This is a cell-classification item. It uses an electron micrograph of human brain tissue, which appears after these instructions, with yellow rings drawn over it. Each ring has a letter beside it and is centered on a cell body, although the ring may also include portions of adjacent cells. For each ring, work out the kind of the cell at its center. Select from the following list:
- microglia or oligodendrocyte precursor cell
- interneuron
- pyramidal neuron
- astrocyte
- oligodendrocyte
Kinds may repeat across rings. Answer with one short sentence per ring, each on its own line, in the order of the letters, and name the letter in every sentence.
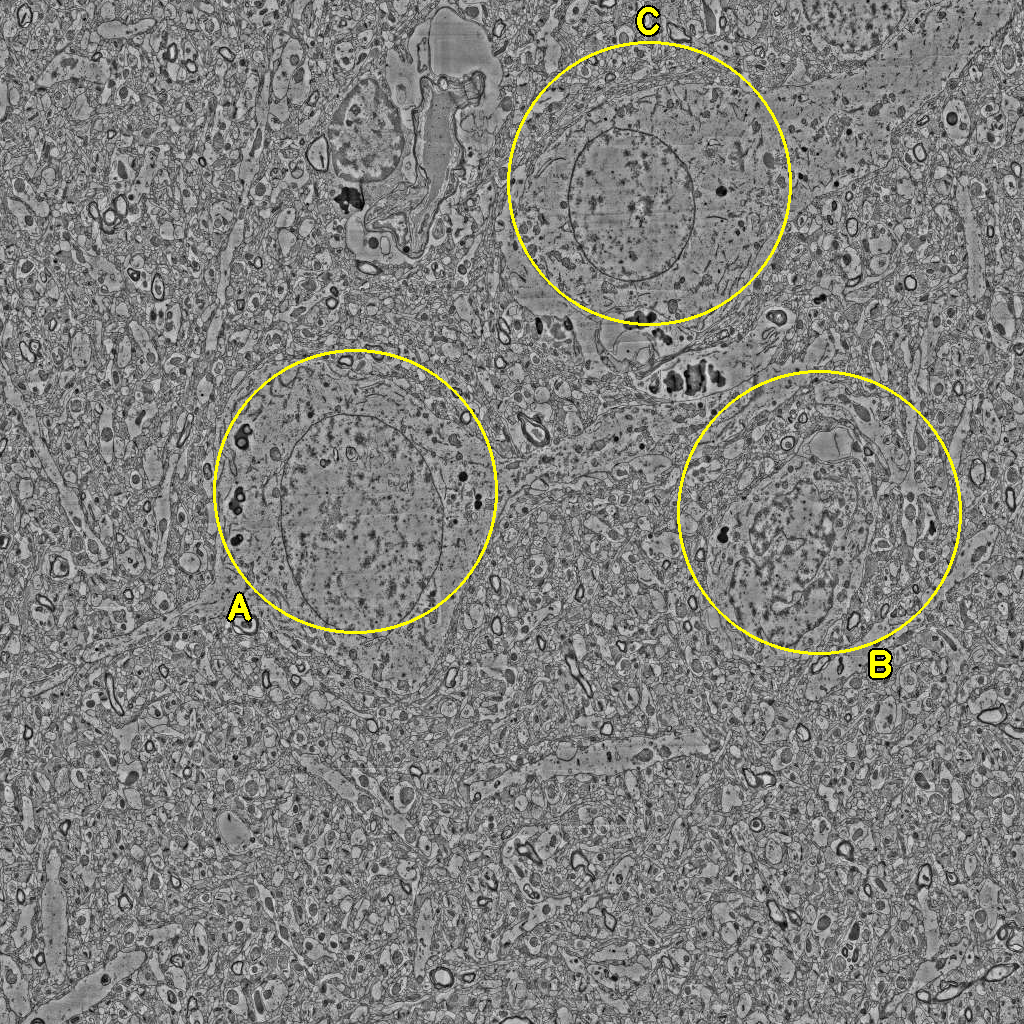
Ring A has a pyramidal neuron at its center.
Ring B has an interneuron at its center.
Ring C has a pyramidal neuron at its center.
